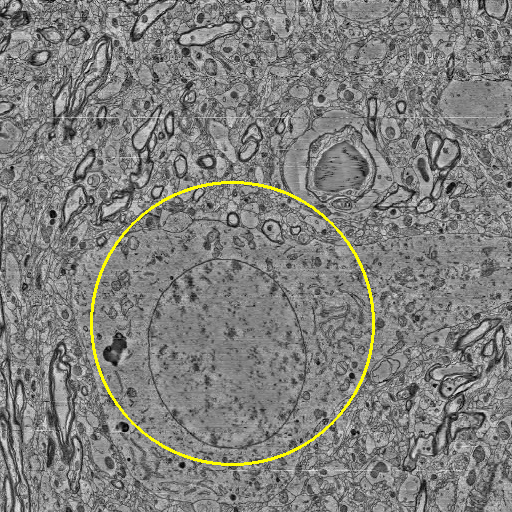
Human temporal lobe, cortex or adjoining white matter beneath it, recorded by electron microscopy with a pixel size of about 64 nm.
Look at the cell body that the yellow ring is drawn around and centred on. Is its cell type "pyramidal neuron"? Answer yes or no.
yes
